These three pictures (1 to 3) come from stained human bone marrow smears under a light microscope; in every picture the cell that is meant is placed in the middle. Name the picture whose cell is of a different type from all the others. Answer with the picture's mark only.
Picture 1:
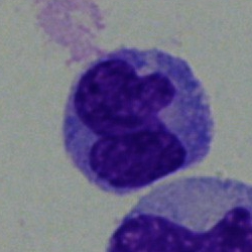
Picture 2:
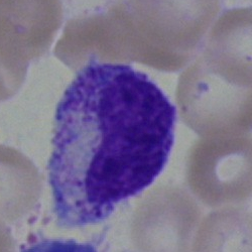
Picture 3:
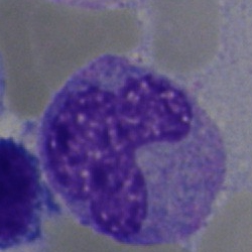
2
